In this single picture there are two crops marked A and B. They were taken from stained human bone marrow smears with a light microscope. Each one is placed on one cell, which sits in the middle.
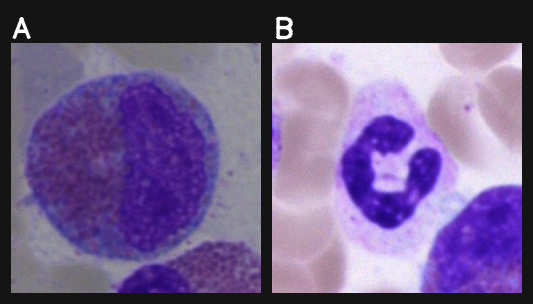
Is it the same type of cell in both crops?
no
